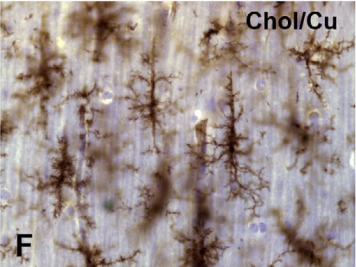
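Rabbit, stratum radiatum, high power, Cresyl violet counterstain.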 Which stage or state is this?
rod cells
